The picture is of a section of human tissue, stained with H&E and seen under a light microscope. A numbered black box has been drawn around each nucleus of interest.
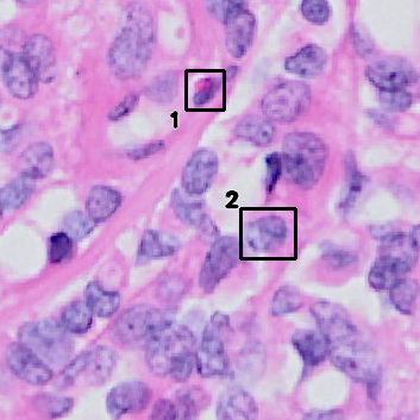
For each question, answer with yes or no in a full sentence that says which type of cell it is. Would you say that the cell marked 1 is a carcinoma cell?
No, number 1 points to an endothelial cell and not to a carcinoma cell.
